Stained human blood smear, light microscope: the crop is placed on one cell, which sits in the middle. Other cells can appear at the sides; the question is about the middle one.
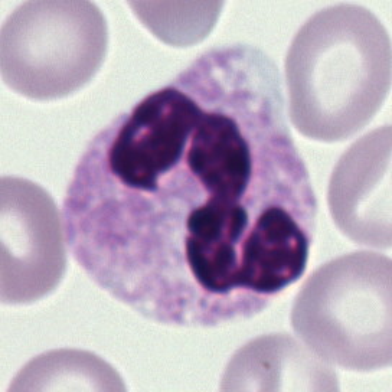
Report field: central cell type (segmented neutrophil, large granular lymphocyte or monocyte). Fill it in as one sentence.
In this smear crop, the middle cell is a segmented neutrophil.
